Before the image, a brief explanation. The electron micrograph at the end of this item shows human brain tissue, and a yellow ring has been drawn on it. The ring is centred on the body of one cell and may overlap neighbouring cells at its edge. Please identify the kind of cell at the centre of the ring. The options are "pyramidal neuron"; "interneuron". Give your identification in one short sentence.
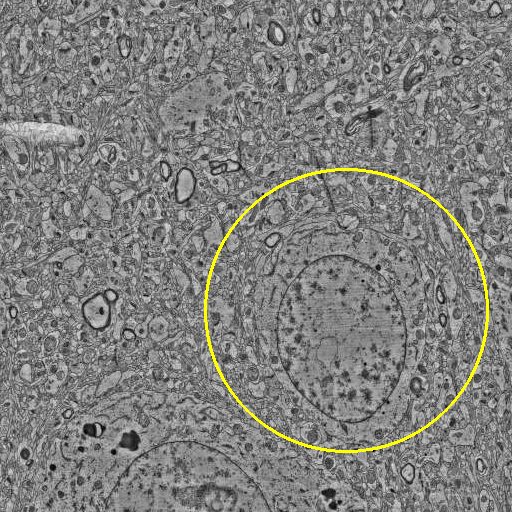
The ring has been placed around a pyramidal neuron.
